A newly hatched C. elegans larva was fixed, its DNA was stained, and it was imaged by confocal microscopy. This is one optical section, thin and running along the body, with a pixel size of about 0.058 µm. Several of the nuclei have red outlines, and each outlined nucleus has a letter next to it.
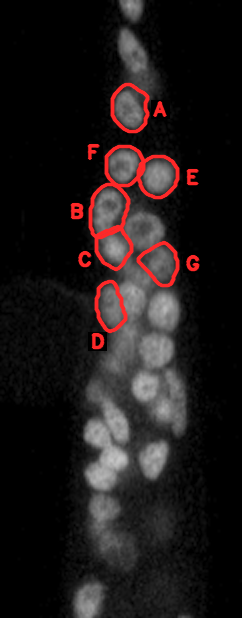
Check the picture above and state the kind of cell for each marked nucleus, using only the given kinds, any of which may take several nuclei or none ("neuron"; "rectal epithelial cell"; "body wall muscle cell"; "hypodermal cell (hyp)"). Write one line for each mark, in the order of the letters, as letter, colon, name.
A: hypodermal cell (hyp)
B: hypodermal cell (hyp)
C: neuron
D: body wall muscle cell
E: neuron
F: hypodermal cell (hyp)
G: body wall muscle cell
